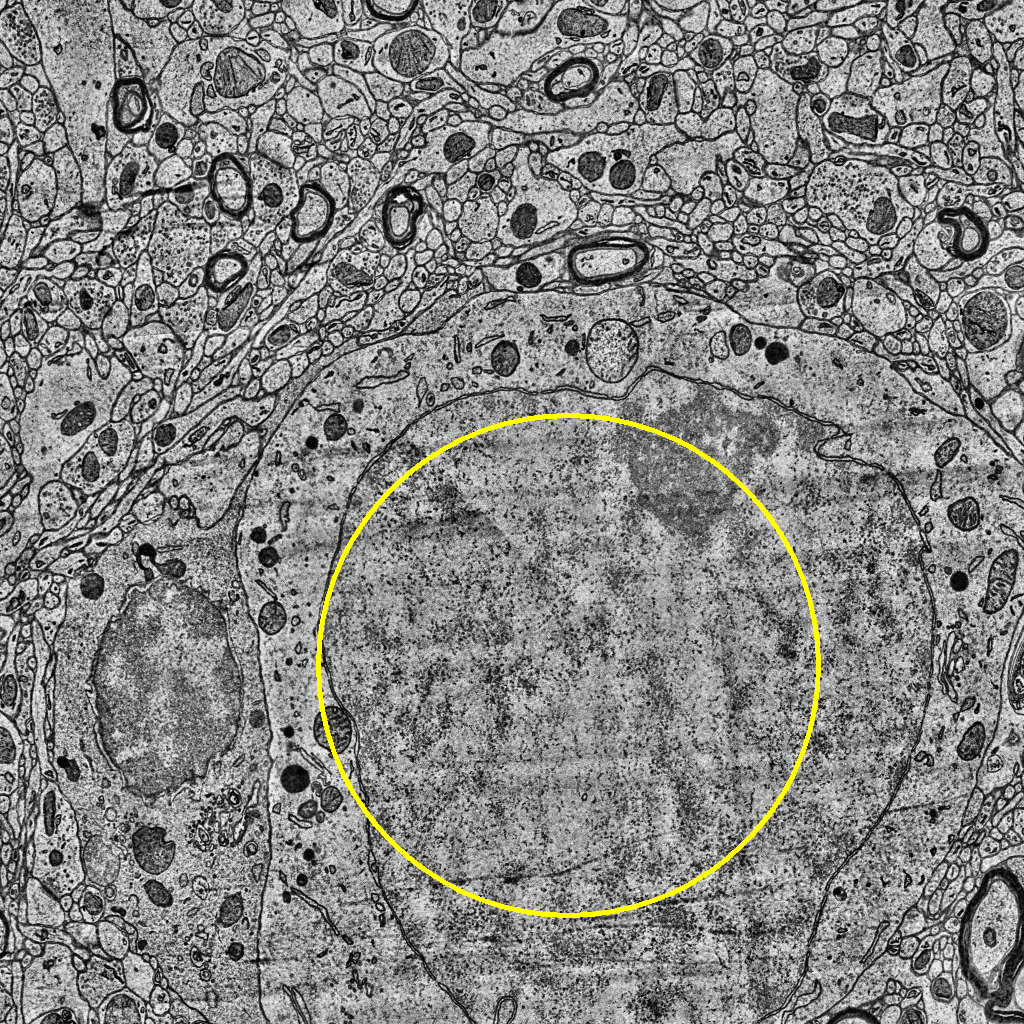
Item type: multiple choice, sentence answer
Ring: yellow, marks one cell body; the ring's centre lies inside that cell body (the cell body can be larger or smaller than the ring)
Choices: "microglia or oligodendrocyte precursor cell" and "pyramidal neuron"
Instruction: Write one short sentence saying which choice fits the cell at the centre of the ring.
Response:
The centre of this ring lies on a pyramidal neuron.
